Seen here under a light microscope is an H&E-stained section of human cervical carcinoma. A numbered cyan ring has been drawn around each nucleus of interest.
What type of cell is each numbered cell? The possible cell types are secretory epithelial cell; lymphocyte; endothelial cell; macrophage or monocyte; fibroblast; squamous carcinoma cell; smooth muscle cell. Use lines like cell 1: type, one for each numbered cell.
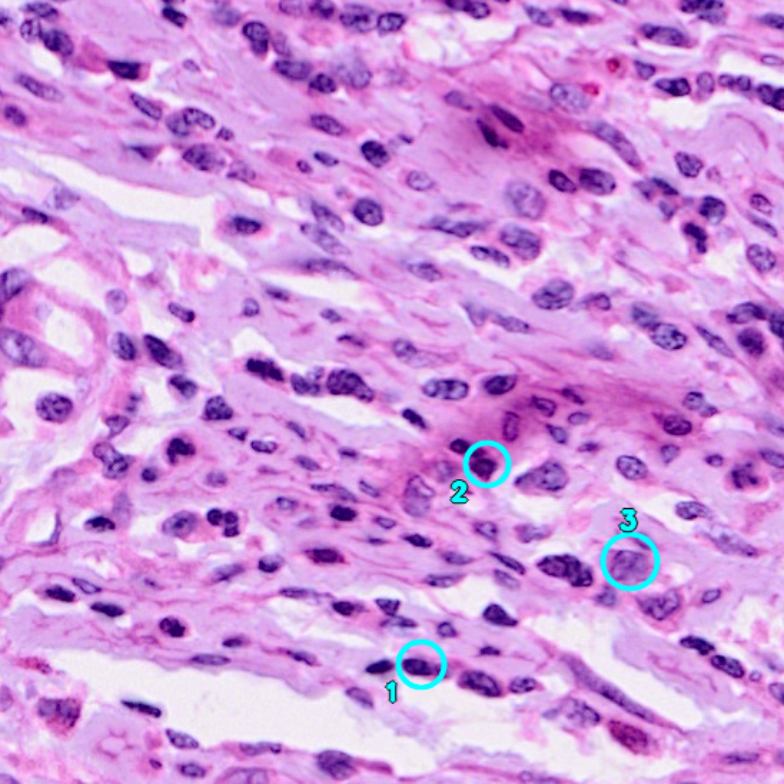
cell 1: lymphocyte
cell 2: lymphocyte
cell 3: macrophage or monocyte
